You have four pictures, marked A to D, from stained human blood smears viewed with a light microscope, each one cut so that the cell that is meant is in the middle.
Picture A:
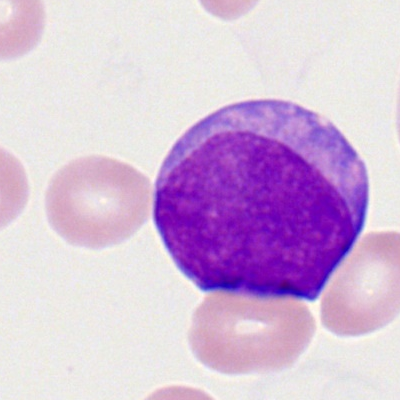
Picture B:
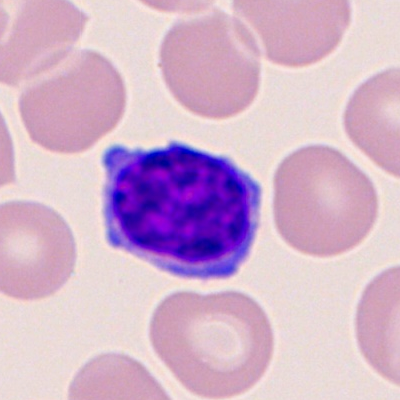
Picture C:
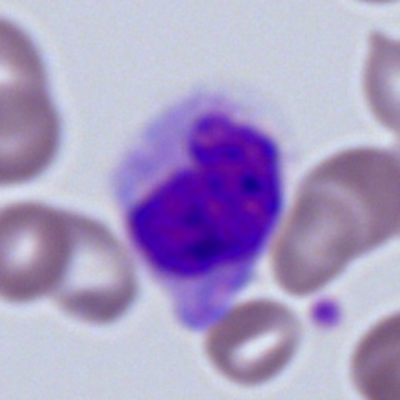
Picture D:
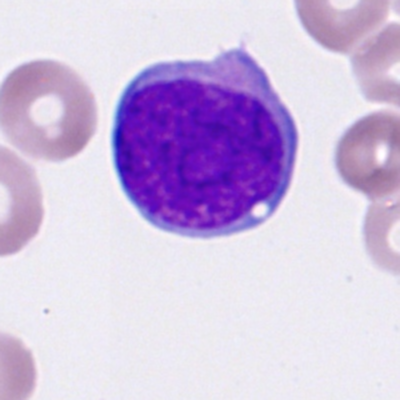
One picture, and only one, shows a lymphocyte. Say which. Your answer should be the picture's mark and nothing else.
B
